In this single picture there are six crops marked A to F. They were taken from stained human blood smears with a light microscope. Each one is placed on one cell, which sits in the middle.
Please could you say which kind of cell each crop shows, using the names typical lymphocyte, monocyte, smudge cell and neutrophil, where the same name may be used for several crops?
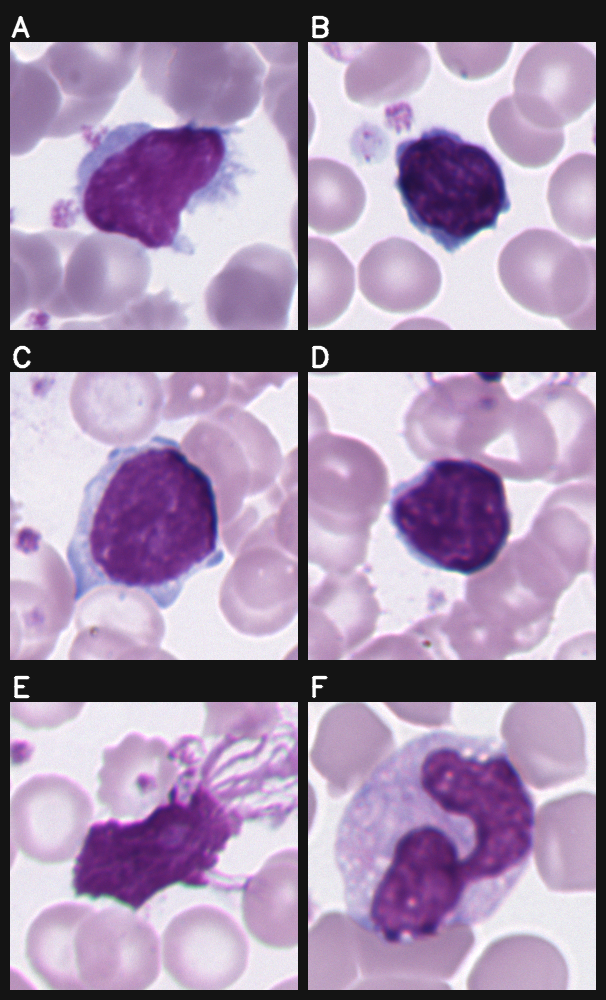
A: typical lymphocyte
B: typical lymphocyte
C: typical lymphocyte
D: typical lymphocyte
E: smudge cell
F: monocyte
